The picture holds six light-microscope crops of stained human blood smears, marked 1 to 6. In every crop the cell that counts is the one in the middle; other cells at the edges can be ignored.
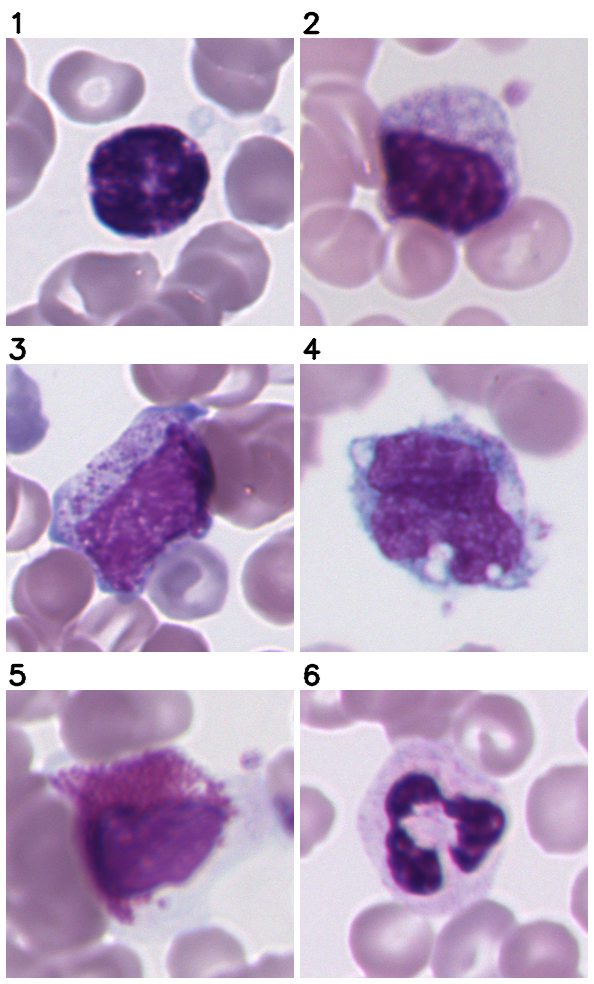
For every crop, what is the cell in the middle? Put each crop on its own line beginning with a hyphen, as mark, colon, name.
- 1: basophil
- 2: metamyelocyte
- 3: promyelocyte
- 4: monocyte
- 5: eosinophil
- 6: segmented neutrophil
